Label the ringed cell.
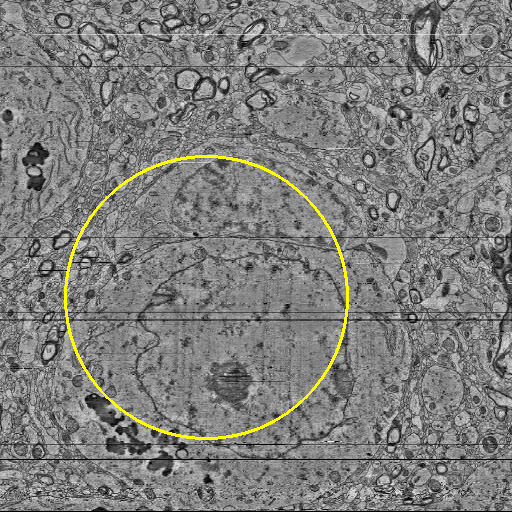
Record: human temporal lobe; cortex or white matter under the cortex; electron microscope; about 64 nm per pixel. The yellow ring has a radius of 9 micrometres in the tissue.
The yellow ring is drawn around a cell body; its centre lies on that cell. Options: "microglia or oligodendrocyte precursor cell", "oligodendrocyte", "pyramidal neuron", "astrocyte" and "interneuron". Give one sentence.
The ringed cell is a pyramidal neuron.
